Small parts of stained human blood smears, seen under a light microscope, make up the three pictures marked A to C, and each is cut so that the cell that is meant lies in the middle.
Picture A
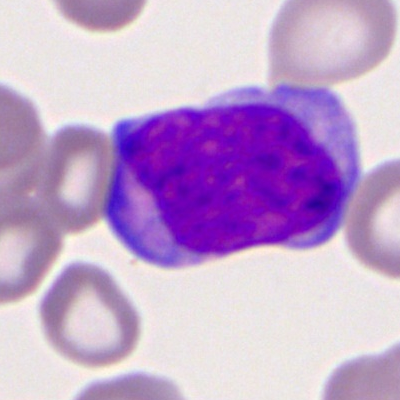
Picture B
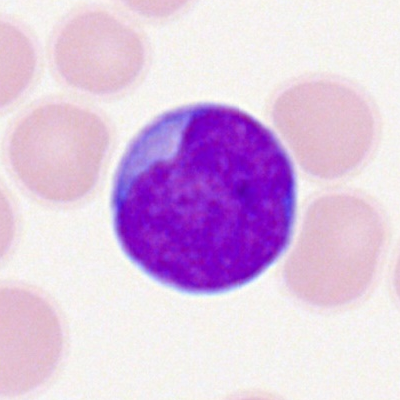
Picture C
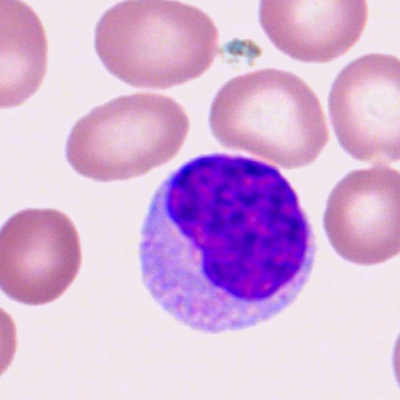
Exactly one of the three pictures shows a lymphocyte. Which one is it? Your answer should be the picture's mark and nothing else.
C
